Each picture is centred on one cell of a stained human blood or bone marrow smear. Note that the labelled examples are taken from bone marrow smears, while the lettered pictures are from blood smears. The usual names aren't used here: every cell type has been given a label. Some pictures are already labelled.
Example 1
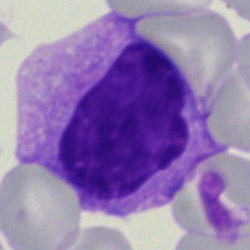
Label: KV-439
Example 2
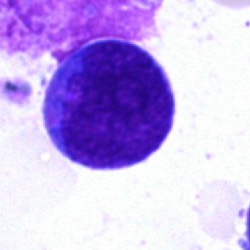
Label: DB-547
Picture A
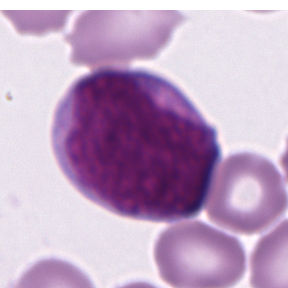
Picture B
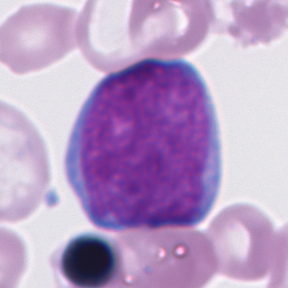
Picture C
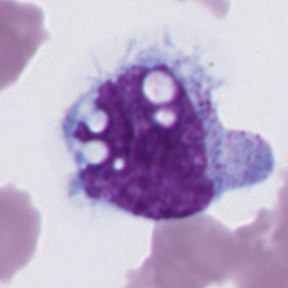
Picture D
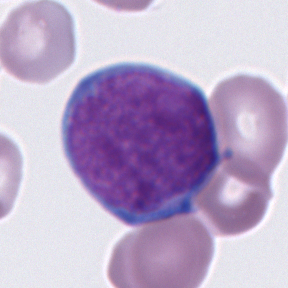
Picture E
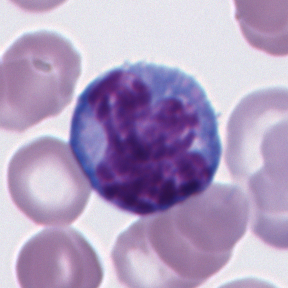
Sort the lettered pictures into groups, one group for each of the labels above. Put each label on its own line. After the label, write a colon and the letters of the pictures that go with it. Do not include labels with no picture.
KV-439: C, E
DB-547: A, B, D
